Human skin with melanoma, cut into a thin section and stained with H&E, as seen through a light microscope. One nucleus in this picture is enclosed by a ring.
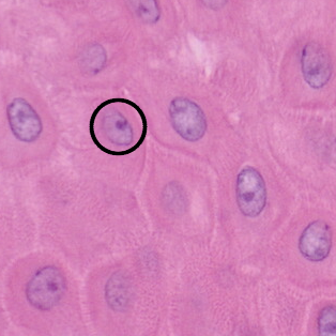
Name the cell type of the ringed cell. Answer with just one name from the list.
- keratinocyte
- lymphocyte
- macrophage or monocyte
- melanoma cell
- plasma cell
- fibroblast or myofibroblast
keratinocyte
